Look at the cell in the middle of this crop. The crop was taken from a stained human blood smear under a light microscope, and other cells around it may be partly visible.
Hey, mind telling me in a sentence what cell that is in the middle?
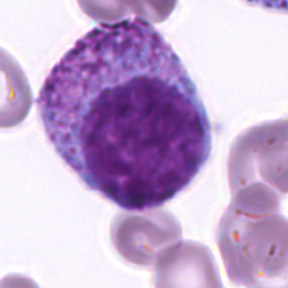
Present in the middle of the crop is a promyelocyte.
